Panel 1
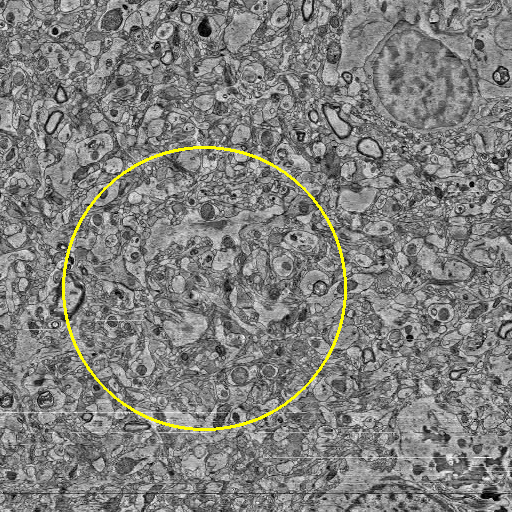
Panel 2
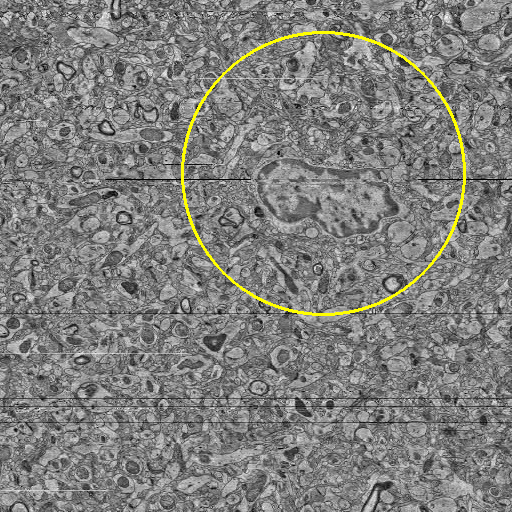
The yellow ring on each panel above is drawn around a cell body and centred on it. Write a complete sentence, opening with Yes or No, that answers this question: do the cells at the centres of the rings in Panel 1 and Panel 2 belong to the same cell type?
Yes, both cells belong to the same cell type.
